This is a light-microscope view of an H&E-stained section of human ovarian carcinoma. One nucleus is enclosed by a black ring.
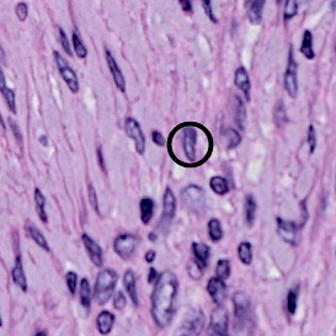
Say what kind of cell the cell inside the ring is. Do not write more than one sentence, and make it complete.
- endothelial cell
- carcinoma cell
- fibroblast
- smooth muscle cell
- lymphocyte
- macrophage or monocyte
As to its cell type, the cell inside the ring is a fibroblast.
